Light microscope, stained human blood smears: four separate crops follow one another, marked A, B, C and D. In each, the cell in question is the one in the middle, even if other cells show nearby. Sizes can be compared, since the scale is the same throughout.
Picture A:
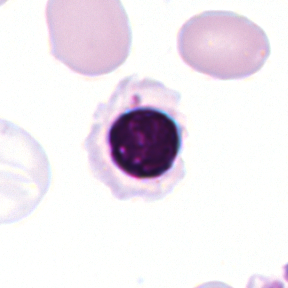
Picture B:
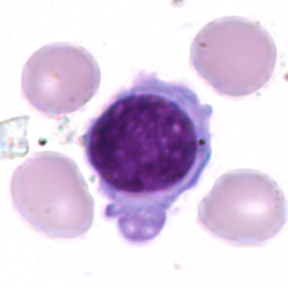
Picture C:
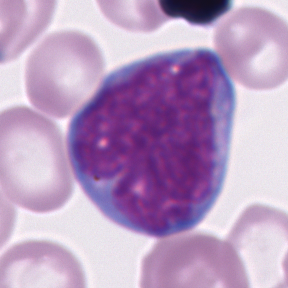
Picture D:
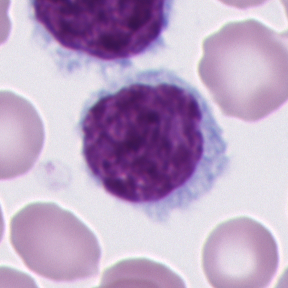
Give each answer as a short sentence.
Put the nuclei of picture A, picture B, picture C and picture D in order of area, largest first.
Largest first: C, D, B, A.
